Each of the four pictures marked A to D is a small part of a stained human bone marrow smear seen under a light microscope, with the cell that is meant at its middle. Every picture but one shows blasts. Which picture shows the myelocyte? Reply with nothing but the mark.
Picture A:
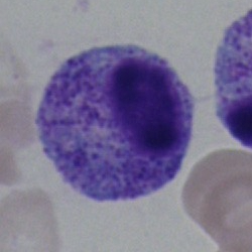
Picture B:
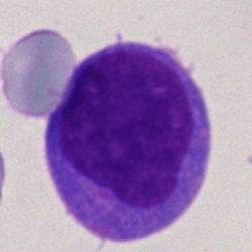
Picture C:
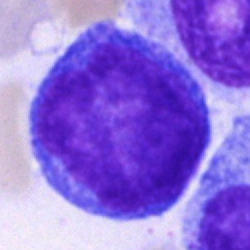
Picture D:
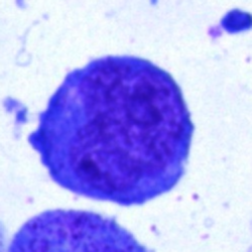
A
